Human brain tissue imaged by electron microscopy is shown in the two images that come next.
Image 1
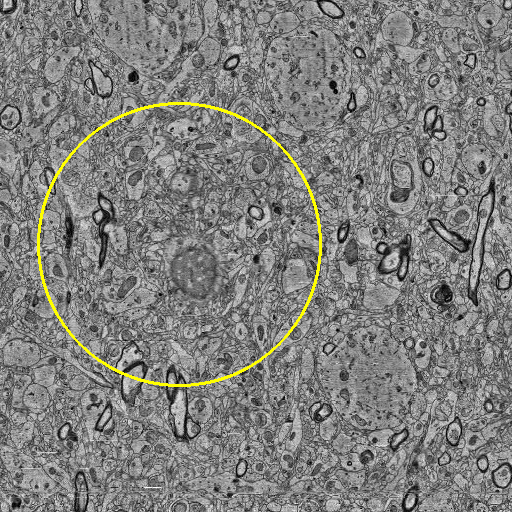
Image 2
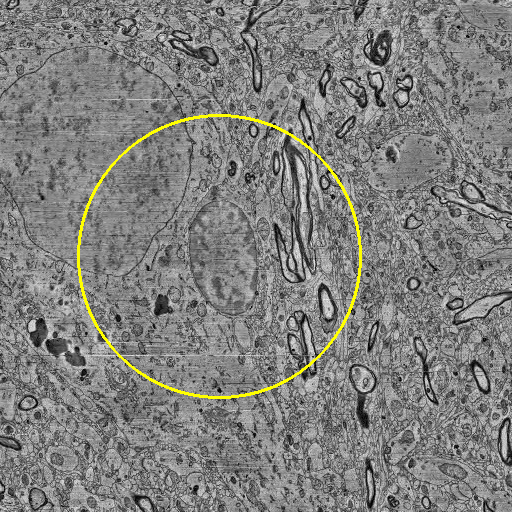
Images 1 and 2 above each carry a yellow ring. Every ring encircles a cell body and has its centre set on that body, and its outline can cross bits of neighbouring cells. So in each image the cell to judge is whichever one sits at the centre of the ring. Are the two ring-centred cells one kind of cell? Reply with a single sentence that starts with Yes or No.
Yes, in Image 1 and Image 2 the cells at the centres of their rings fall into one type.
